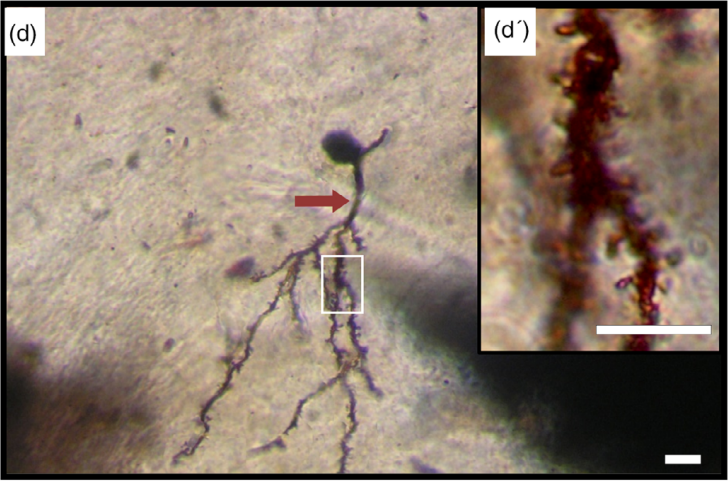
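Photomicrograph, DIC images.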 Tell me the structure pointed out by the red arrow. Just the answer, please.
Long, smooth primary dendrites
